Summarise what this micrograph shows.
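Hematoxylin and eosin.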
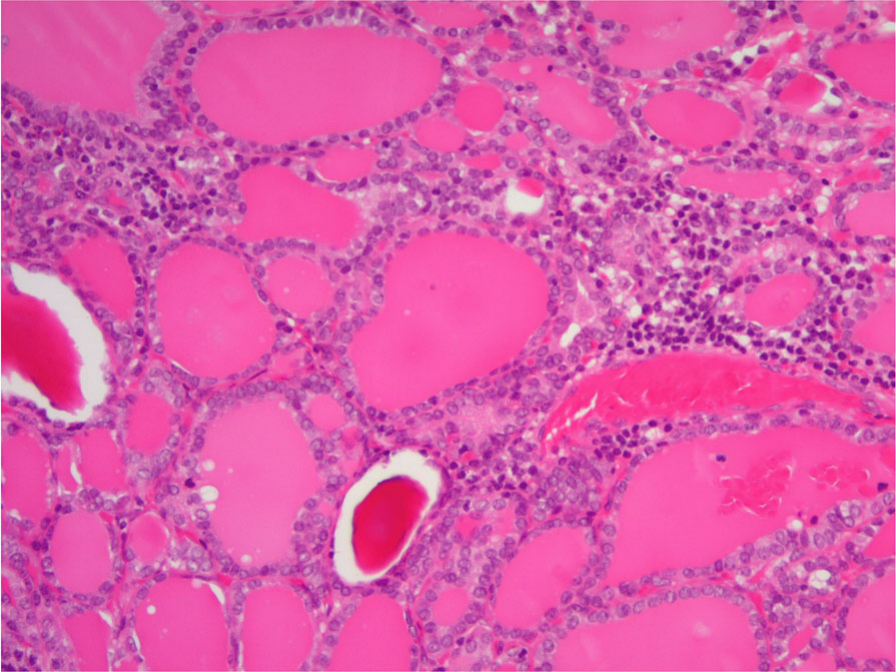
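This is thyroid tissue made up of follicles of very unequal size. Some are small and others are widely dilated. Each follicle is a round or irregular space filled with smooth pink colloid. A single layer of flat to cuboidal epithelial cells lines each follicle. A few follicles hold deeper red colloid that has pulled away from the wall, leaving a white gap. Between the follicles there is thin pink stroma. Right of centre, that stroma holds a cluster of tightly packed small, dark, round nuclei.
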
